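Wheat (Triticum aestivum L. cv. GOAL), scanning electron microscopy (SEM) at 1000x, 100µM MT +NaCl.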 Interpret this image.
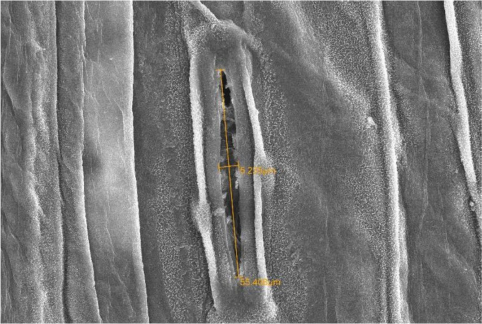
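A pair of raised guard cells flanks a long, dark open slit of a pore, crossed by measurement lines. The epidermis around it has a finely granular surface with smooth folded ridges at the sides.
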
